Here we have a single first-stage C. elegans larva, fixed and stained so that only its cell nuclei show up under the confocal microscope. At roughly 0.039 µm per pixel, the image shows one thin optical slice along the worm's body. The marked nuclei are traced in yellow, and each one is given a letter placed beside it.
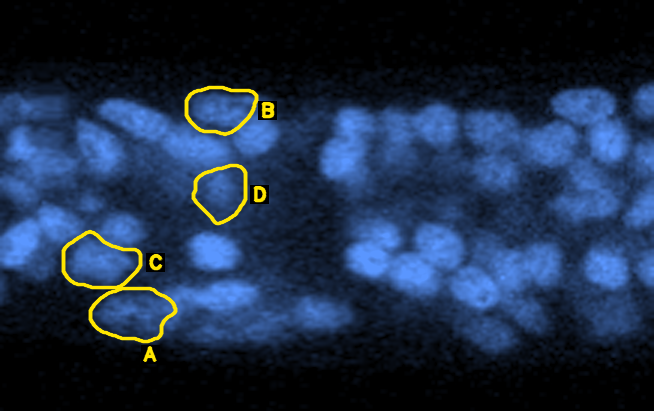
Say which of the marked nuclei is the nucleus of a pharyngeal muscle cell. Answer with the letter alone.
C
